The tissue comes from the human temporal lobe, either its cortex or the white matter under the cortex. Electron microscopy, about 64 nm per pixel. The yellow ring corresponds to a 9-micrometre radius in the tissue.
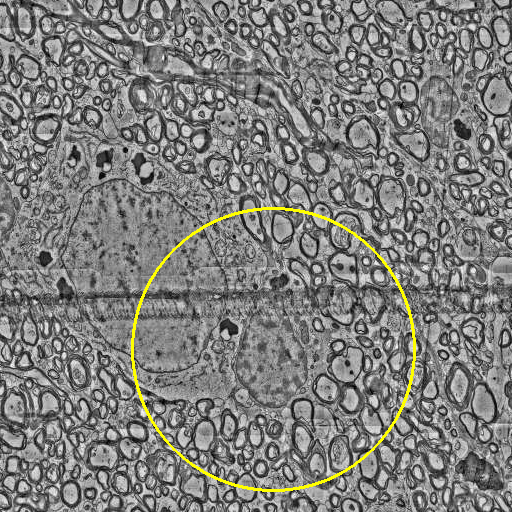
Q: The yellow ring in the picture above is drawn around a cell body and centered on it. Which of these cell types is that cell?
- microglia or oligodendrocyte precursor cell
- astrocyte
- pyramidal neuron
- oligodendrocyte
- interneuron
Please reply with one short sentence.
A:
The cell body at the ring's center belongs to an oligodendrocyte.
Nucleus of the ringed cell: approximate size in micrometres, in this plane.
In this plane the nucleus measures roughly 7 by 5 micrometers.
